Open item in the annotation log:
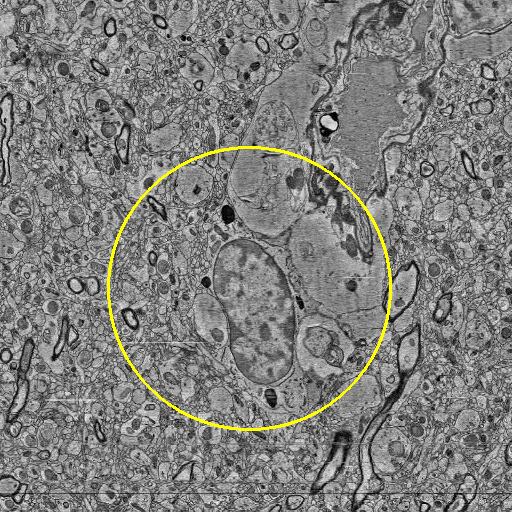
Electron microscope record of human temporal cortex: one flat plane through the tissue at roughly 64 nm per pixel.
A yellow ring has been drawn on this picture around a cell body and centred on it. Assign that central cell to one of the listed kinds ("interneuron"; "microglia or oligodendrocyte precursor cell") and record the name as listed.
microglia or oligodendrocyte precursor cell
